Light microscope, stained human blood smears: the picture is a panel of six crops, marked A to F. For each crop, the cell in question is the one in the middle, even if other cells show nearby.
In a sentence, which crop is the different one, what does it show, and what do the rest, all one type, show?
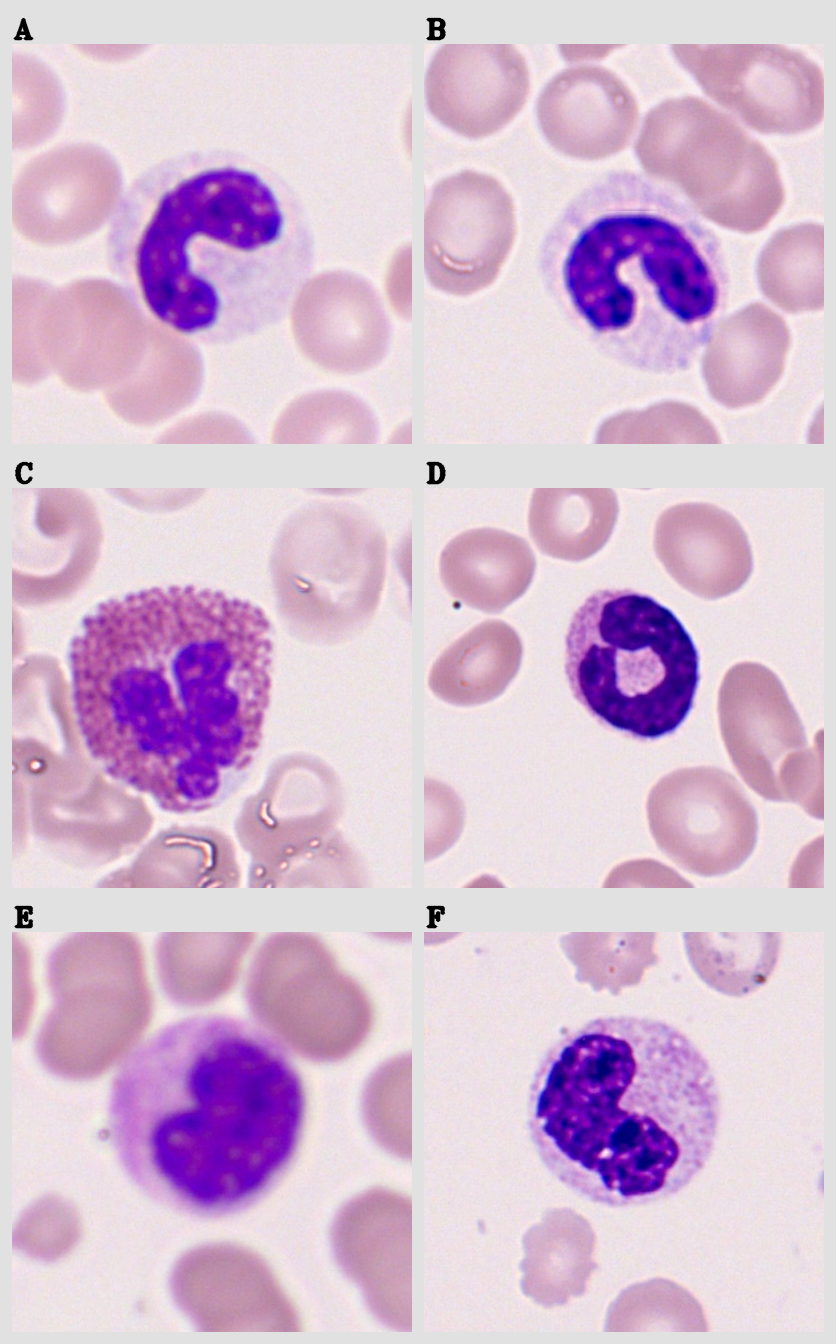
Differing from the rest, crop C shows an eosinophil; the others all show band neutrophils.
